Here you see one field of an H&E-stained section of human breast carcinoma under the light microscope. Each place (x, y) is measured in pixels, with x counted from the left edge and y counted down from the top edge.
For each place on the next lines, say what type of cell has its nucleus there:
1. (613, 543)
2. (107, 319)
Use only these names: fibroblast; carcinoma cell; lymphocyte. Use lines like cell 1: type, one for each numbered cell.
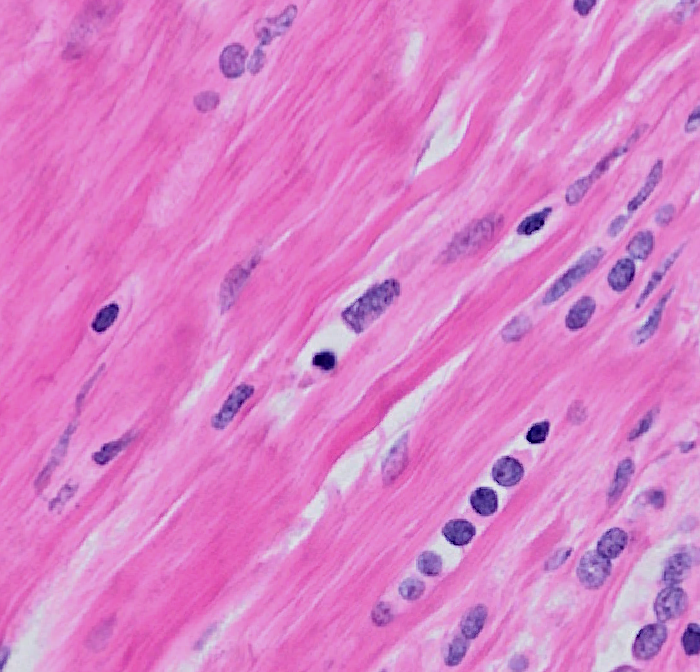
cell 1: carcinoma cell
cell 2: lymphocyte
